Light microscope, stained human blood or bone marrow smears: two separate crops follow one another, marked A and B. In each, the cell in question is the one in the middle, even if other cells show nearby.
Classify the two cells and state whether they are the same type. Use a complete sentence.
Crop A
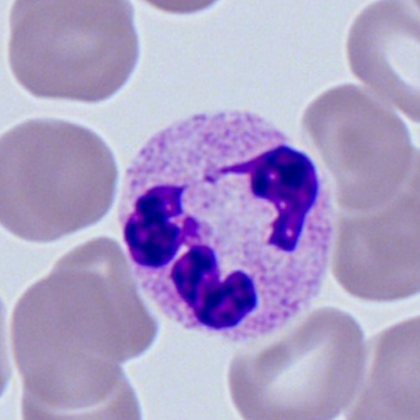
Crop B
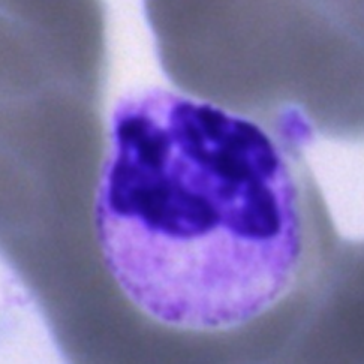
Yes, the central cells in both crops are segmented neutrophils.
